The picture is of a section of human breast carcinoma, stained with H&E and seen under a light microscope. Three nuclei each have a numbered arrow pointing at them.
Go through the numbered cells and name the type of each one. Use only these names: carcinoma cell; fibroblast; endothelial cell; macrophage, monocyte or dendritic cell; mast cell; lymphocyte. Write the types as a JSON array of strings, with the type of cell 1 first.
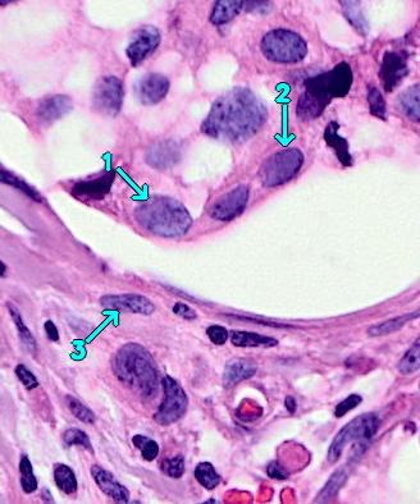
["carcinoma cell", "carcinoma cell", "endothelial cell"]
